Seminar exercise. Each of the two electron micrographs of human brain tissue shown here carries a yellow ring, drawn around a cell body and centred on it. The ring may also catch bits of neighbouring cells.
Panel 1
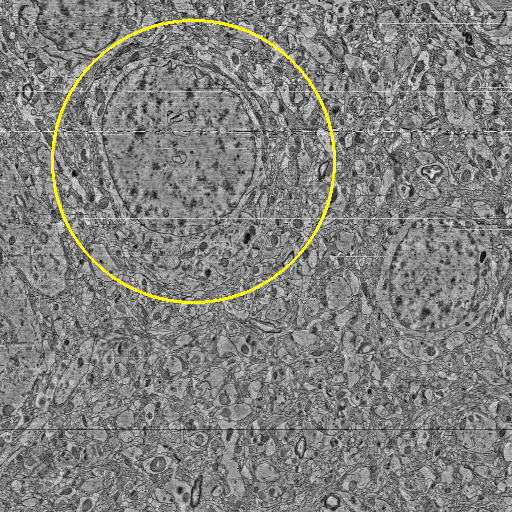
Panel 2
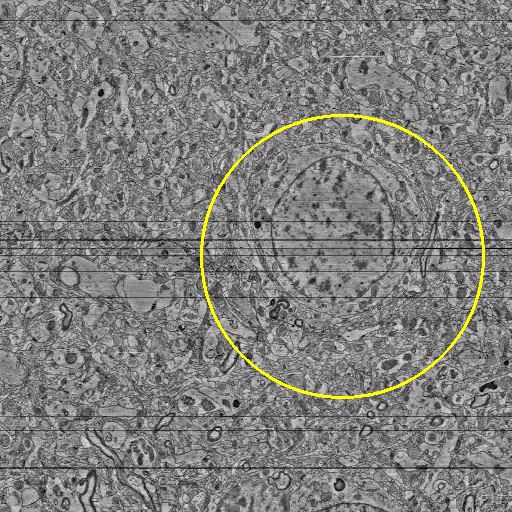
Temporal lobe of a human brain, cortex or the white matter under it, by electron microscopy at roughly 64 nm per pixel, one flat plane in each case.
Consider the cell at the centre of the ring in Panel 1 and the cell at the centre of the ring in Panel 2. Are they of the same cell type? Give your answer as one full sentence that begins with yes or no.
Yes, both cells are of the same type.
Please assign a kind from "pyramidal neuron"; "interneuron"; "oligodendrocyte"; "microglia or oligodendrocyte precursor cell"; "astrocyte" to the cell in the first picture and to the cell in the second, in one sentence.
In each picture the ringed cell is a pyramidal neuron.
